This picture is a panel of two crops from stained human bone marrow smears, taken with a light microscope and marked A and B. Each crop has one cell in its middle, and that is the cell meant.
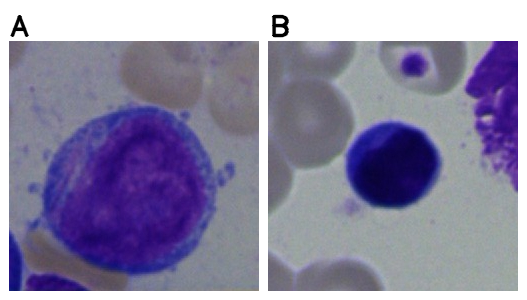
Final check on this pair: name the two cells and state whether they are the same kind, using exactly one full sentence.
No, crop A presents a blast, whereas crop B presents a lymphocyte.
